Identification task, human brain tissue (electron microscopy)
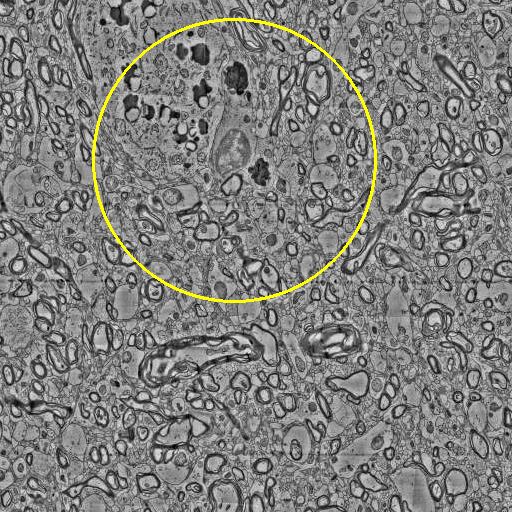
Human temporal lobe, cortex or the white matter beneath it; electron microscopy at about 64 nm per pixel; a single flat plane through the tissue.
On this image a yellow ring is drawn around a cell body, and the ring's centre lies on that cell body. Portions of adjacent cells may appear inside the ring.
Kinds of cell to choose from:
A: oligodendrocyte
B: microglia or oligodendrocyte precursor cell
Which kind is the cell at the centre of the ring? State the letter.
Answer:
A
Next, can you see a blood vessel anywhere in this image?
No.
